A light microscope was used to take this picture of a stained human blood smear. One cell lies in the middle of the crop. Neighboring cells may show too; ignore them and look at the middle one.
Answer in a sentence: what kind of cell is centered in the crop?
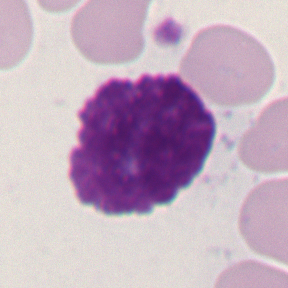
The central element of this crop is a cell, namely a smudge cell.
